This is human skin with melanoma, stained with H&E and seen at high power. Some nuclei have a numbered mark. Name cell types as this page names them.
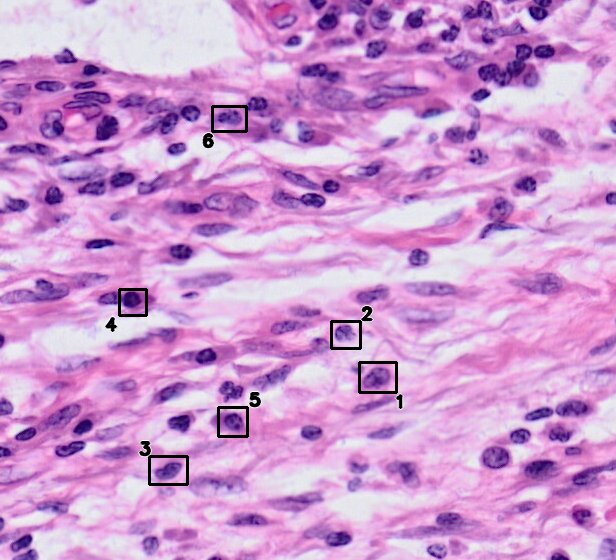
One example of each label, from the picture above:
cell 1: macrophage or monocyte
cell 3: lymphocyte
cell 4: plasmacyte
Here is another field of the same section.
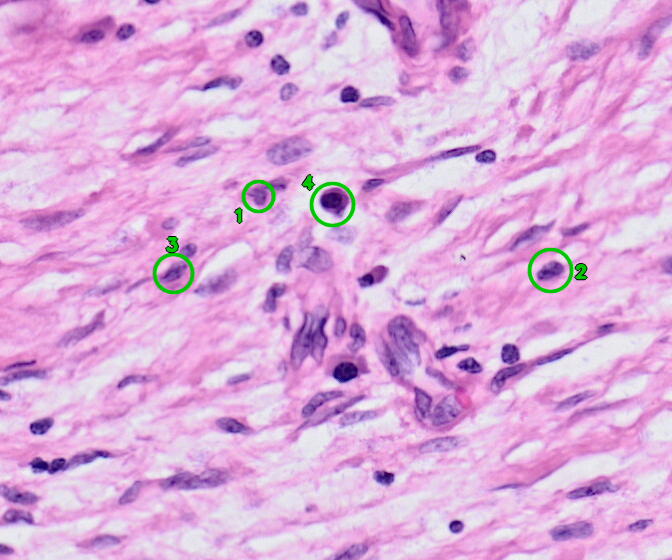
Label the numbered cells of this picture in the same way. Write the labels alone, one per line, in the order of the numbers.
macrophage or monocyte
lymphocyte
macrophage or monocyte
plasmacyte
